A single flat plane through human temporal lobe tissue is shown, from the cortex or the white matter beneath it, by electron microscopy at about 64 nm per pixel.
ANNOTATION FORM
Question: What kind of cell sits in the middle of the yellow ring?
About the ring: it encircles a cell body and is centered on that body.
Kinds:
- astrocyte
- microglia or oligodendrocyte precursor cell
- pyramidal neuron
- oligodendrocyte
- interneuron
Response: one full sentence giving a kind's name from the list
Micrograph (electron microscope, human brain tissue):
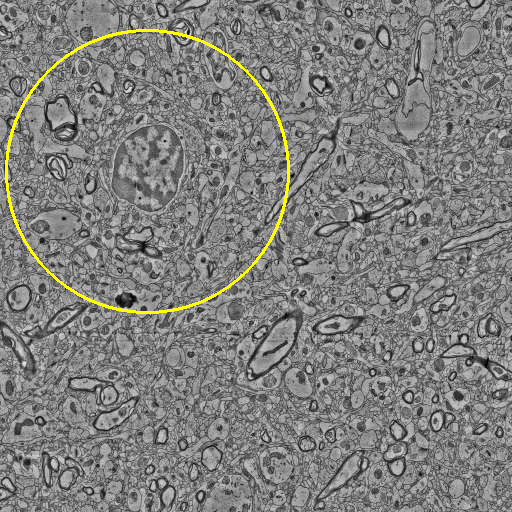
The kind of cell found at the center of the yellow ring in the micrograph is a microglial cell or oligodendrocyte precursor cell.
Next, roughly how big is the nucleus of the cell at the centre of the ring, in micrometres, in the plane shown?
In this plane, approximately 5 by 4 micrometers.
